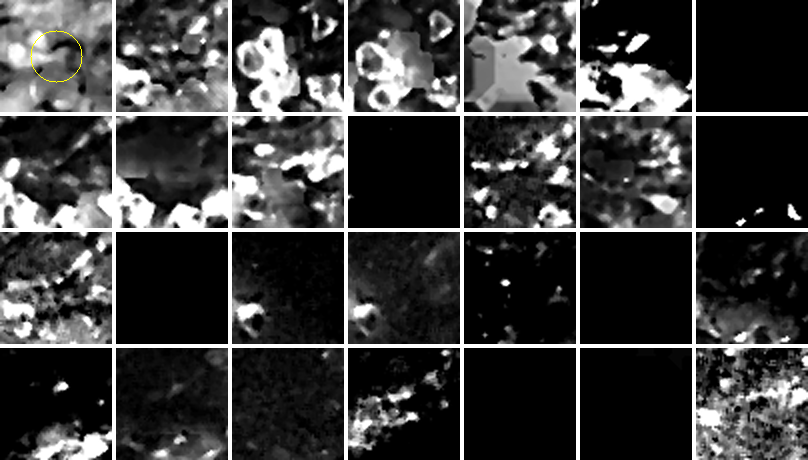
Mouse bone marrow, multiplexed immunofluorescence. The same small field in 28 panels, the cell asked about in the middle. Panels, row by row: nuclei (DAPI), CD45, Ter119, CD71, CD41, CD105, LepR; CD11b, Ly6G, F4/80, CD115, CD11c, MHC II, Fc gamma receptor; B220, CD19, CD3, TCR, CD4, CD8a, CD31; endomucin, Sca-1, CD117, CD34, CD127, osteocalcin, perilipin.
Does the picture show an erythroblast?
Yes.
